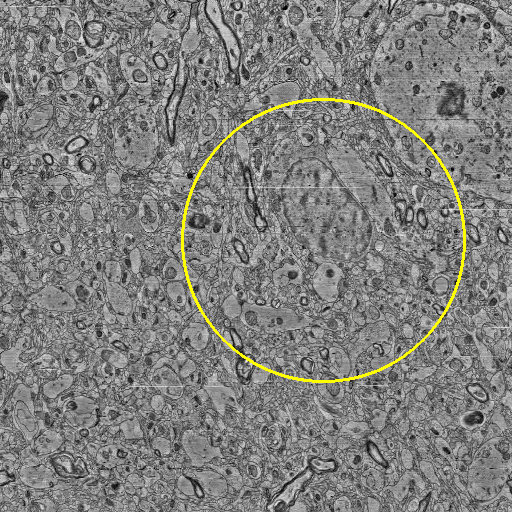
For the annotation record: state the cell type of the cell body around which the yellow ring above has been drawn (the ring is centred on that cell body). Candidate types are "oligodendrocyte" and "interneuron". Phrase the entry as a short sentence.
The ringed cell is an oligodendrocyte.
